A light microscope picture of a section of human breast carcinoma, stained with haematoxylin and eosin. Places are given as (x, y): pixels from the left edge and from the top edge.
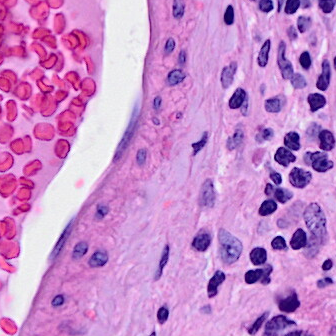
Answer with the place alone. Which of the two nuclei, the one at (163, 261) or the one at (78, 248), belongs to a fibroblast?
(163, 261)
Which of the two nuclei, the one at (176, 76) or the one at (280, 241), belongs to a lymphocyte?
(280, 241)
